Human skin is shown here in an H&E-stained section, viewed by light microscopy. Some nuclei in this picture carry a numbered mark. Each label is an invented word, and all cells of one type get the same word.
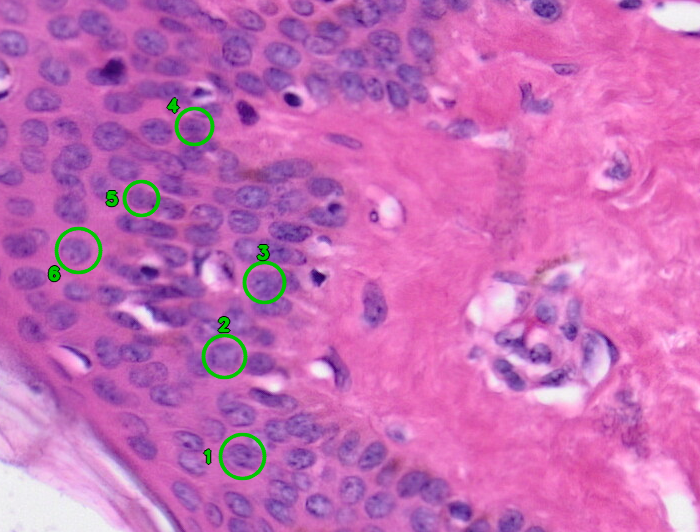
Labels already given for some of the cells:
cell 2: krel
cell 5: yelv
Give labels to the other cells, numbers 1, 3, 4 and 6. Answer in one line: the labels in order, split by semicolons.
krel; yelv; yelv; krel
